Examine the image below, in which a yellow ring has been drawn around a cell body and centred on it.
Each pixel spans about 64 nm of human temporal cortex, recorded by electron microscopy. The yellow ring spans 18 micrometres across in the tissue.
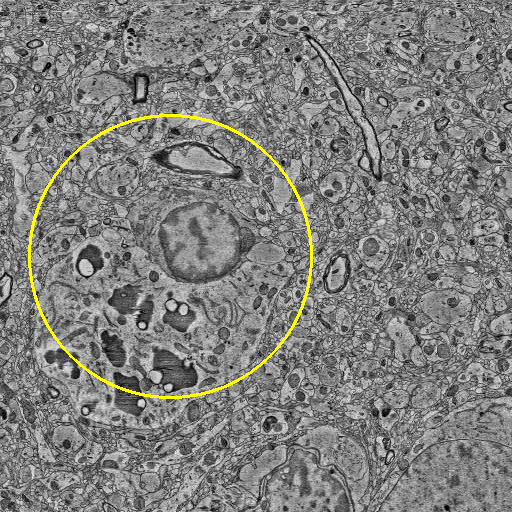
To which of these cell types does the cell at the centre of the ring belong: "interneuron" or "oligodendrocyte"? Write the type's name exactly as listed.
oligodendrocyte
